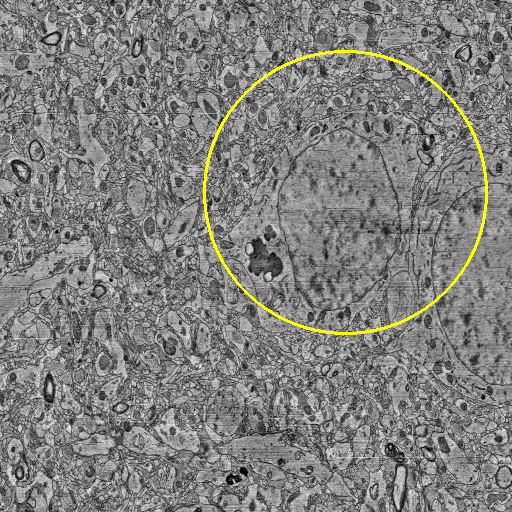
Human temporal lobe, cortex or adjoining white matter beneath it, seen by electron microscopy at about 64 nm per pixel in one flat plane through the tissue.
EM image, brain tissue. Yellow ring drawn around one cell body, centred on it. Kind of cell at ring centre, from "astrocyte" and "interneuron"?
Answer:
interneuron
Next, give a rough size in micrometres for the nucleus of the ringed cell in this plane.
Roughly 12 by 8 micrometres; in this plane, clearly longer than it is wide.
